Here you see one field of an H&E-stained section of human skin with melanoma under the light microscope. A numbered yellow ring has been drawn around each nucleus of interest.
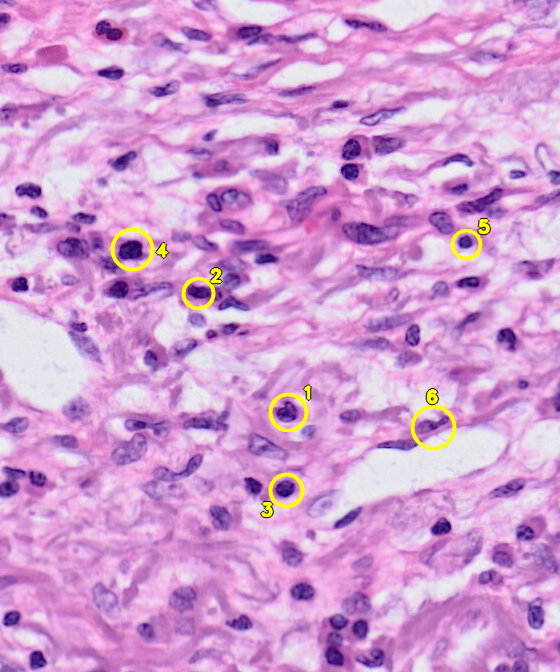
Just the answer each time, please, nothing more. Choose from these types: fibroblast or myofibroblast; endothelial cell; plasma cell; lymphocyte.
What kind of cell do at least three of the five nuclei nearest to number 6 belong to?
endothelial cell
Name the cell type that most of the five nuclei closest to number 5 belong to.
plasma cell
